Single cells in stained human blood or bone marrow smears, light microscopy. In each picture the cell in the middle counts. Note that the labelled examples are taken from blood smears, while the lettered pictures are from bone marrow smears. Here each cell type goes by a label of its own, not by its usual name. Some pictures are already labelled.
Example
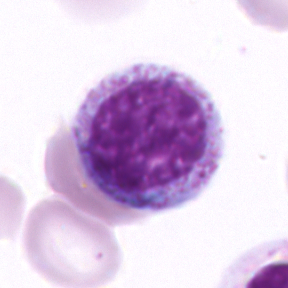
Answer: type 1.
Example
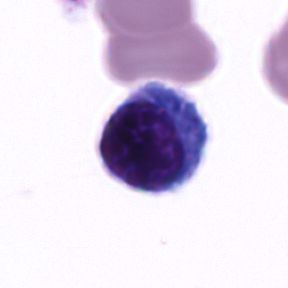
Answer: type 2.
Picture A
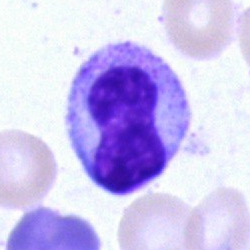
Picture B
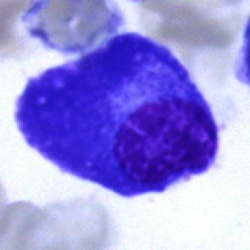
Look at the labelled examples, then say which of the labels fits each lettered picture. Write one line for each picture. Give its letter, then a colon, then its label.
A: type 1.
B: type 2.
